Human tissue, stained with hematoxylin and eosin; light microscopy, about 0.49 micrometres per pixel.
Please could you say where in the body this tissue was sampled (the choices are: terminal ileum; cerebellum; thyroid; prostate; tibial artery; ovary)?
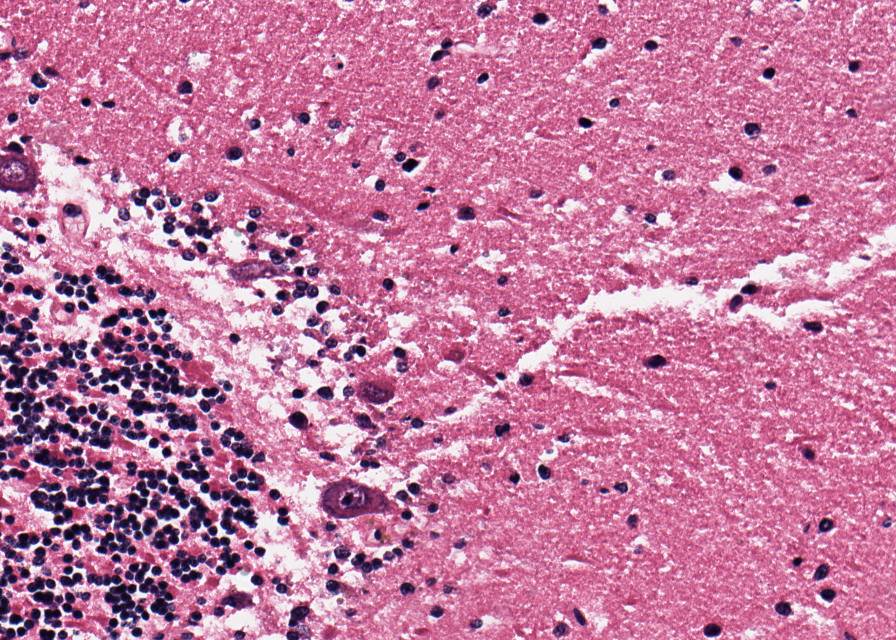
cerebellum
